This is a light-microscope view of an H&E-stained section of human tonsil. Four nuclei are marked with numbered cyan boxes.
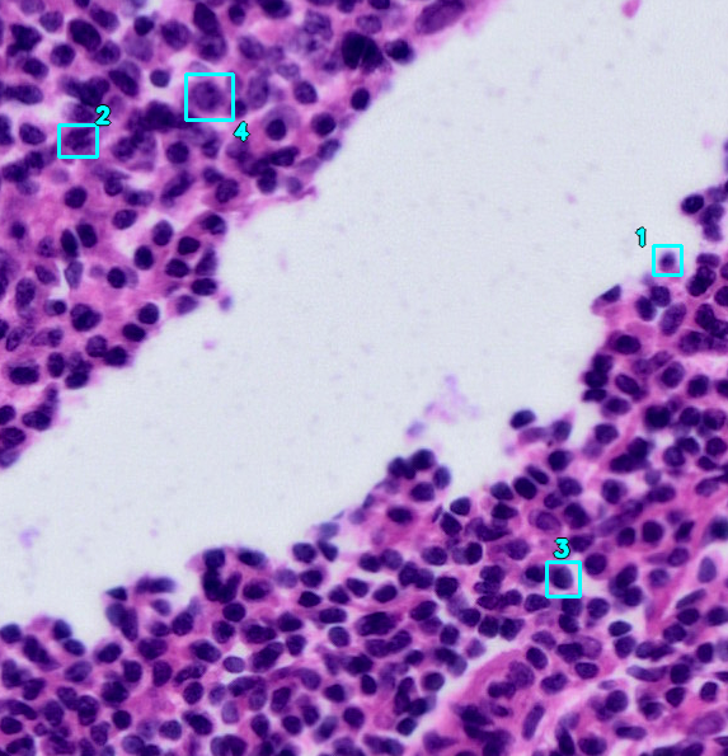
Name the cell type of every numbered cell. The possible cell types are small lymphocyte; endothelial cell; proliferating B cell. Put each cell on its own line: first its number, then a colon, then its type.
1: small lymphocyte
2: proliferating B cell
3: small lymphocyte
4: proliferating B cell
